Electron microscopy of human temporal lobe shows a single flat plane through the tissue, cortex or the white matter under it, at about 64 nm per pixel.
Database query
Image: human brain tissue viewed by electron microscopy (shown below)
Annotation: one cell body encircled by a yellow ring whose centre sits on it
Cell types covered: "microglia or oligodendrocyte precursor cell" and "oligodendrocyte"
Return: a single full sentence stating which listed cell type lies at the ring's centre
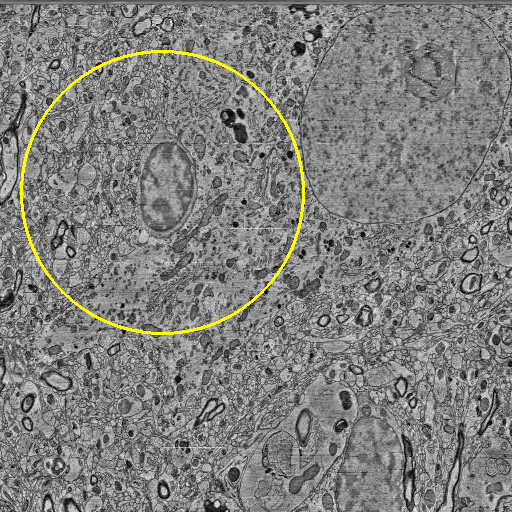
In the image, the cell lying at the ring's centre is an oligodendrocyte.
